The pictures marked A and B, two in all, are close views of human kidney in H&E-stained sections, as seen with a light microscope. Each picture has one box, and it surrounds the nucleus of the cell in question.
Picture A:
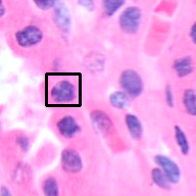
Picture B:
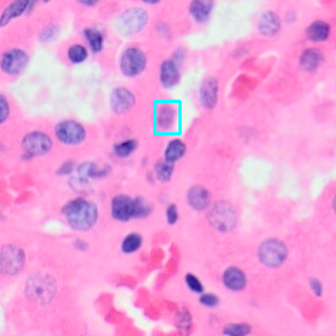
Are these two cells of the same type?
yes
